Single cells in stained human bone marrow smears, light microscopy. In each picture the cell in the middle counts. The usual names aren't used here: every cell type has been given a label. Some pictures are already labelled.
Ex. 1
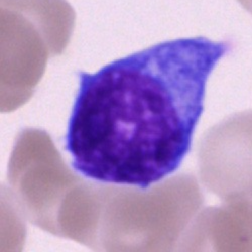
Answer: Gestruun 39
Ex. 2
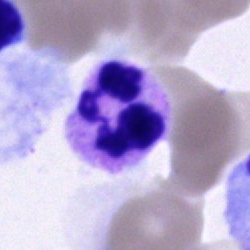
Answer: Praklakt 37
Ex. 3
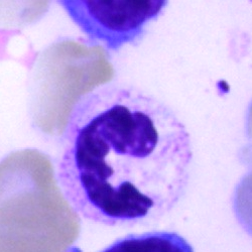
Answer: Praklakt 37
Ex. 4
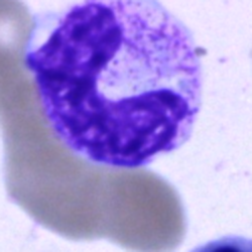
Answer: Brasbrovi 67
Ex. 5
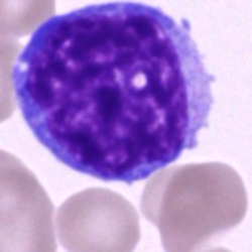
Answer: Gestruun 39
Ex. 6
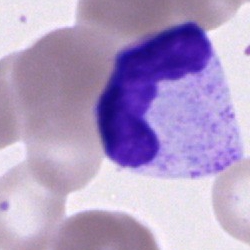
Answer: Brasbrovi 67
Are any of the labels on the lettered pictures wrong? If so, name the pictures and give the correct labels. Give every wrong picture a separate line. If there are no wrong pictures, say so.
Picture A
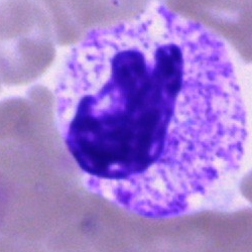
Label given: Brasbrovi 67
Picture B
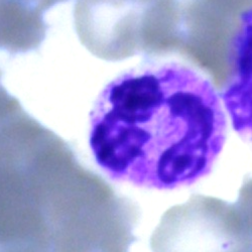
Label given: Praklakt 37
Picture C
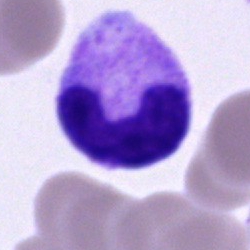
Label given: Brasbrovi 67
A: not Brasbrovi 67 but Praklakt 37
